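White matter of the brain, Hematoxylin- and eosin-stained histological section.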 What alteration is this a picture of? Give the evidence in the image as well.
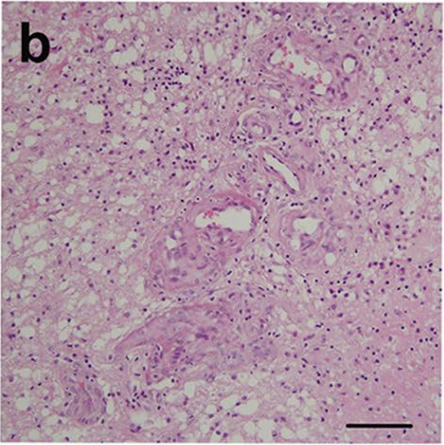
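Several small vessels in the centre have thick pink concentric walls.
Conclusion: vessel wall thickening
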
